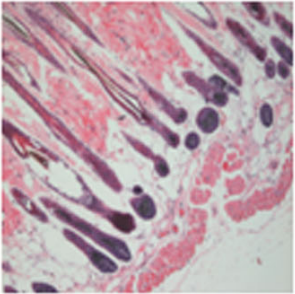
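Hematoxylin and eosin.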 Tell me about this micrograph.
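The follicles are long, purple-staining epithelial tubes, many with a dark hair shaft in their center, and their deep ends widen into dark purple bulbs. The bulbs lie deep, in and beneath a pale, loose layer with clear spaces resembling fat. The dermis between the follicles is pink, fibrous connective tissue. At the bottom edge, bundles of red-stained muscle fibers form a band beneath the follicles.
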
